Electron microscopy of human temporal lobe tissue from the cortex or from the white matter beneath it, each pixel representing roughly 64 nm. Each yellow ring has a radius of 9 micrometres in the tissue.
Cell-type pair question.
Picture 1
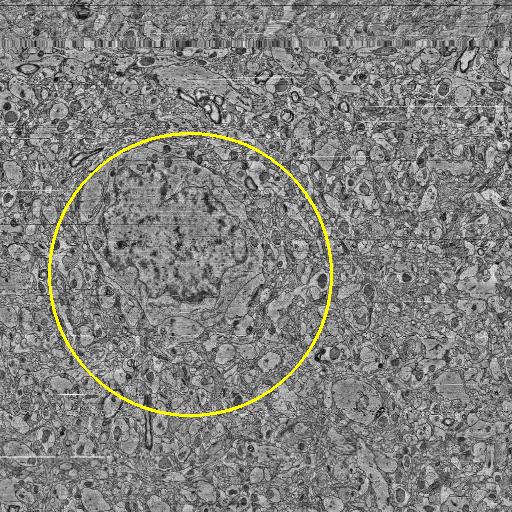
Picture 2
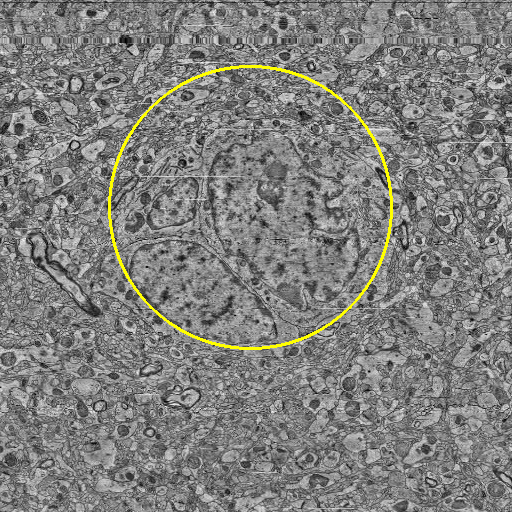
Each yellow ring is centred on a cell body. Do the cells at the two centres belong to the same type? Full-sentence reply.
Yes, the two cells belong to the same type.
